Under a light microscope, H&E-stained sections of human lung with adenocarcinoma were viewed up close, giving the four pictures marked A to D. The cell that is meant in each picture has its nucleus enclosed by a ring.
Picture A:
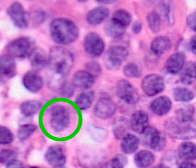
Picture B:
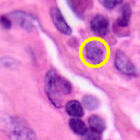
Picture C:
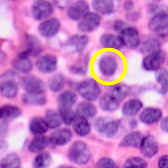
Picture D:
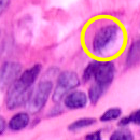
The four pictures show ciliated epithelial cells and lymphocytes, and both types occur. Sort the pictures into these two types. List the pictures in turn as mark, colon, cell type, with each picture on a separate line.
A: lymphocyte
B: lymphocyte
C: lymphocyte
D: ciliated epithelial cell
